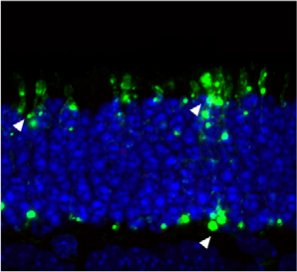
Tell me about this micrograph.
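Section of retina showing the photoreceptor layer, with a thick band of densely packed round blue rod nuclei. Above the nuclei, green label lies in short irregular outer segment profiles and in bright puncta at the level of the inner segments. Scattered green dots also lie among the nuclei. At the bottom of the nuclear band, bright green round blobs sit at the synaptic terminals. White arrowheads point to green label in the inner segment region and at the terminals.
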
